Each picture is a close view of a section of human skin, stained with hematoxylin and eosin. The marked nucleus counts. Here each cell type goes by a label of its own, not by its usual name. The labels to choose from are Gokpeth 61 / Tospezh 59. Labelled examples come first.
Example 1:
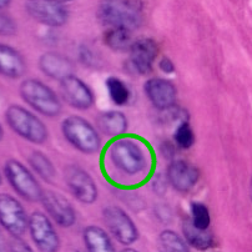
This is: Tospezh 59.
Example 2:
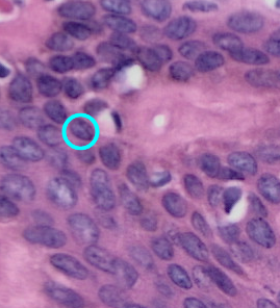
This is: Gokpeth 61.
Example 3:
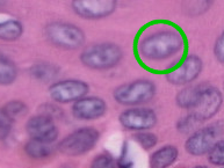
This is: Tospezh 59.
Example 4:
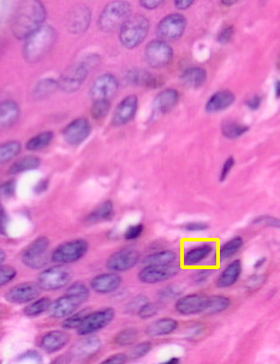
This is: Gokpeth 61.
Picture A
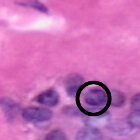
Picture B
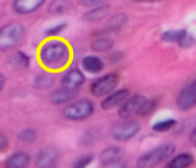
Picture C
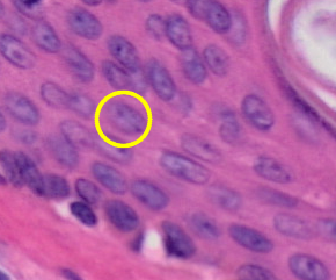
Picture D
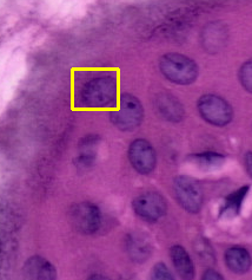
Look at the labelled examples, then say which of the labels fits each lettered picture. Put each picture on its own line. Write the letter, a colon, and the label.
A: Gokpeth 61.
B: Tospezh 59.
C: Tospezh 59.
D: Tospezh 59.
